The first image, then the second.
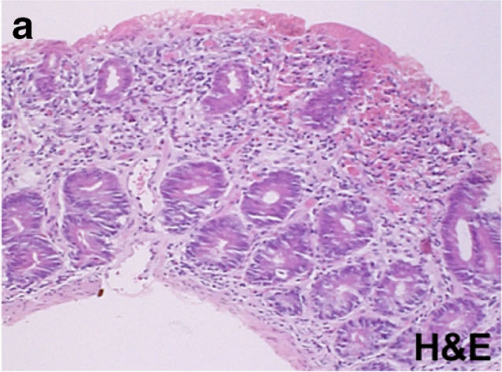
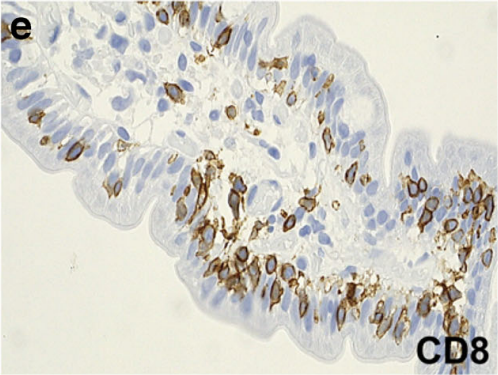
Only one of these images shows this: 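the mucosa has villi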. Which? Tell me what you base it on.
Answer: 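The second image. Second image: a slender projection of lamina propria lined on both sides by epithelium is seen. First image: the mucosal surface is flat with crypts beneath and no projections.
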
